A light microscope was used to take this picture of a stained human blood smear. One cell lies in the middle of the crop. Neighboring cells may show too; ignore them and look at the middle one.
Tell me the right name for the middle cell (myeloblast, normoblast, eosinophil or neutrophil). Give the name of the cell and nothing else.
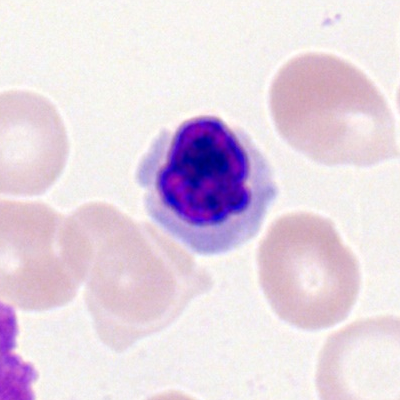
normoblast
